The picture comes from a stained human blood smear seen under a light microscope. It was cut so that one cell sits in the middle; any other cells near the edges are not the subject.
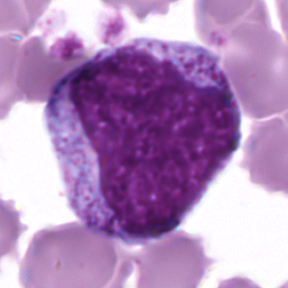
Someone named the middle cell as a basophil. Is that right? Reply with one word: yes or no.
no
